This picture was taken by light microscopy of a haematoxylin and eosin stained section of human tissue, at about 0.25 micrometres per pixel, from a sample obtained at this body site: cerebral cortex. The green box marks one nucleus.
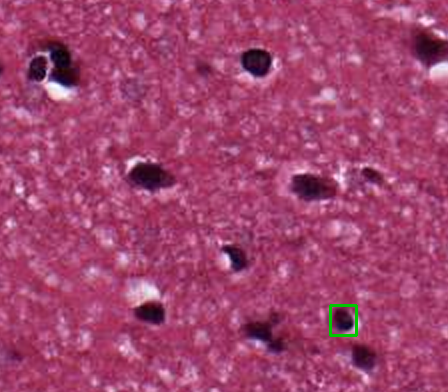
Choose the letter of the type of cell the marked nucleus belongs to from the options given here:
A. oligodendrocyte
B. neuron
A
